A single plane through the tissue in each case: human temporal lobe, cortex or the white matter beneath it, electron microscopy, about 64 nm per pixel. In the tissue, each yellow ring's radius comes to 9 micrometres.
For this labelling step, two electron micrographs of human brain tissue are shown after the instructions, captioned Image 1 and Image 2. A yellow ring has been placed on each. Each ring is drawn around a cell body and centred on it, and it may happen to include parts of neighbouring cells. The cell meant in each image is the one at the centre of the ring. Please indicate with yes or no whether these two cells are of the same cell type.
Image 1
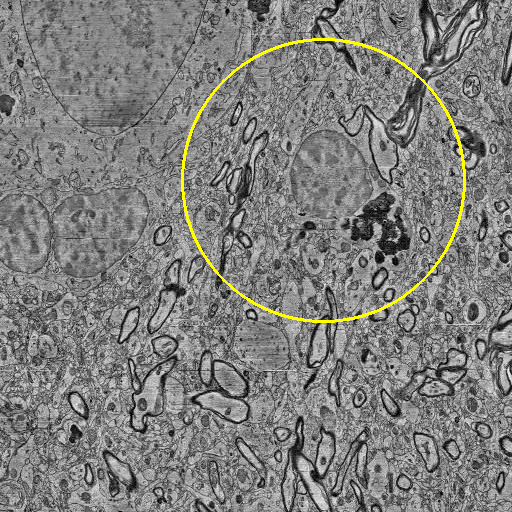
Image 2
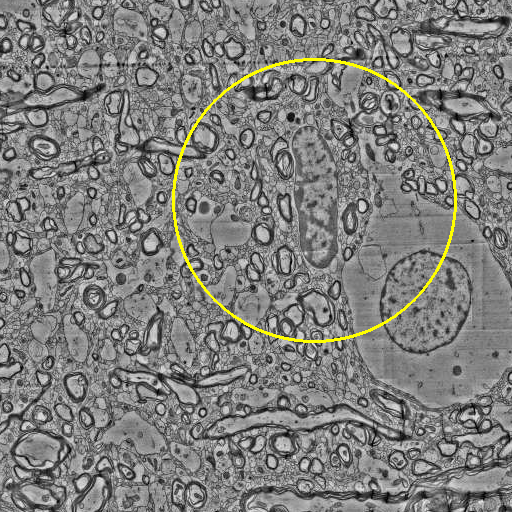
no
